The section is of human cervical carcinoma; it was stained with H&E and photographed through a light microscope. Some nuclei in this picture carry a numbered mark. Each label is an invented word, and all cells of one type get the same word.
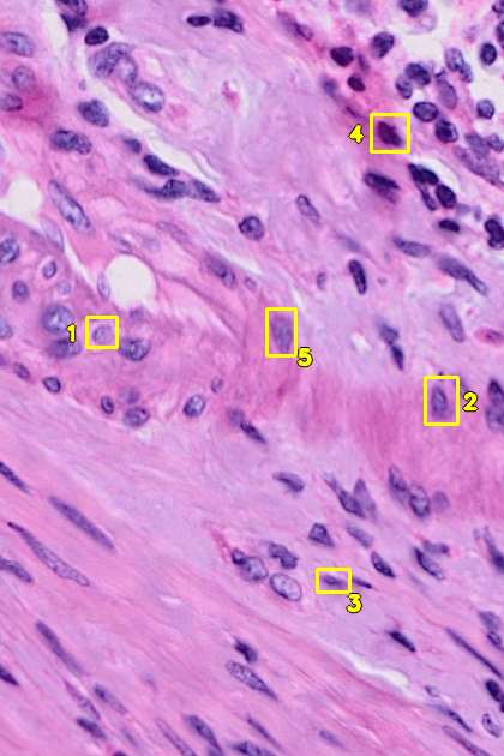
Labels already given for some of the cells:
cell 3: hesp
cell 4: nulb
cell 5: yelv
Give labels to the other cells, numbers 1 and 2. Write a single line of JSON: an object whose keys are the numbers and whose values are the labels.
{"1": "yelv", "2": "yelv"}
